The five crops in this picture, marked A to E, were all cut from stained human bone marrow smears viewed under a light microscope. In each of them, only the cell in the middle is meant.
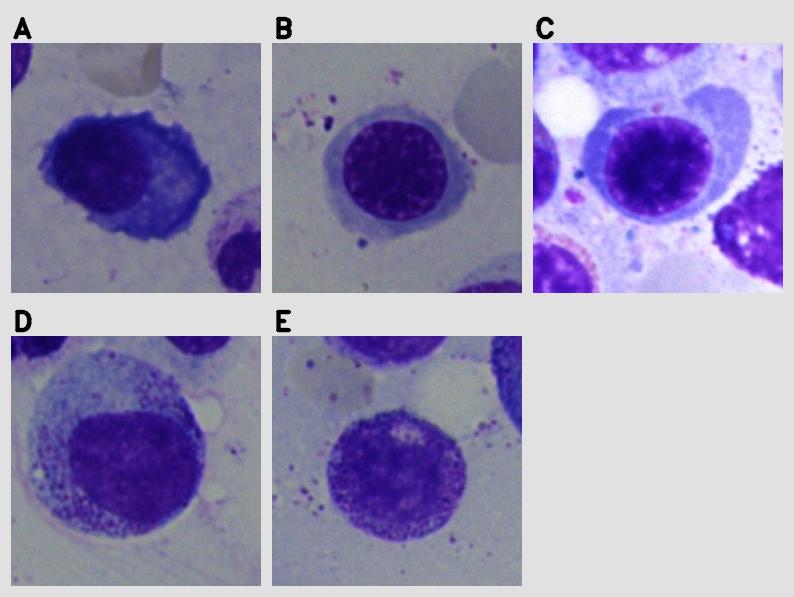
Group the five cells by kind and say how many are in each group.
normoblast: 2
myelocyte: 2
plasma cell: 1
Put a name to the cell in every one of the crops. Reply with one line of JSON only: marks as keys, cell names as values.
{"A": "plasma cell", "B": "normoblast", "C": "normoblast", "D": "myelocyte", "E": "myelocyte"}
